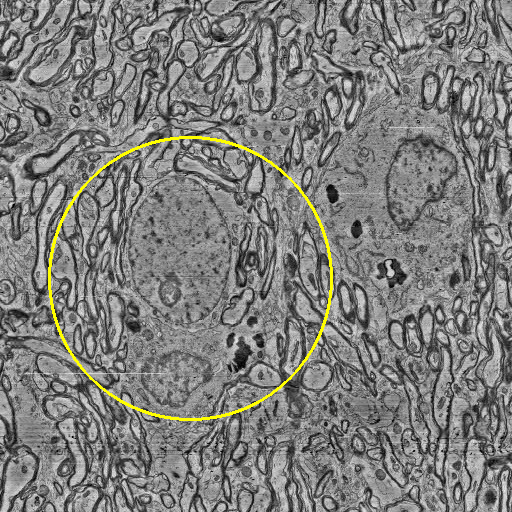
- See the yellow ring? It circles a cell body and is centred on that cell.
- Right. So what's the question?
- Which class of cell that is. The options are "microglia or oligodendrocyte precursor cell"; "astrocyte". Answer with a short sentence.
The centre of the ring holds an astrocyte.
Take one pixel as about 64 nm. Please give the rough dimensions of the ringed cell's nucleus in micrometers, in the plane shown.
The nucleus has a long axis of about 10 micrometres and a short axis of about 7 micrometres in this plane.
